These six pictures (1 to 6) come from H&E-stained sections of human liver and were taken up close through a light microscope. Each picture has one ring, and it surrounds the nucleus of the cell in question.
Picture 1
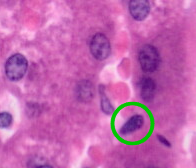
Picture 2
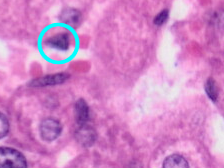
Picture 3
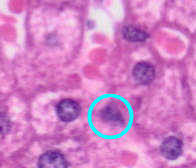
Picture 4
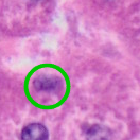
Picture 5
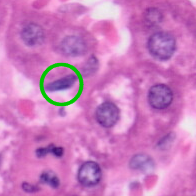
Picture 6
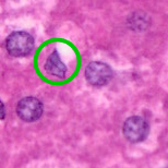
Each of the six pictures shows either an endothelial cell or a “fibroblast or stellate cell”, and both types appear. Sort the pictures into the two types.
1: fibroblast or stellate cell
2: endothelial cell
3: endothelial cell
4: endothelial cell
5: fibroblast or stellate cell
6: endothelial cell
